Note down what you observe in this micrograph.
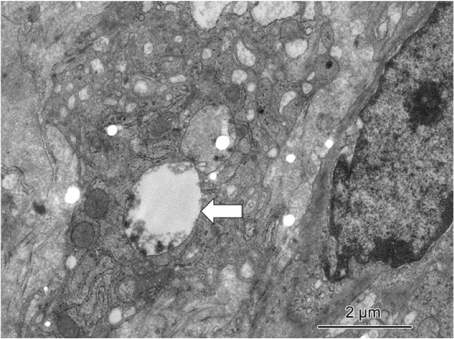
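Cytoplasm rich in membranes and small round pale profiles lies beside a nucleus with clumped dark chromatin at the right. In its middle a large round pale space with dark granular material along part of its margin stands out among smaller bright spots. This is a cell with a big vacuole containing fine particulate material.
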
